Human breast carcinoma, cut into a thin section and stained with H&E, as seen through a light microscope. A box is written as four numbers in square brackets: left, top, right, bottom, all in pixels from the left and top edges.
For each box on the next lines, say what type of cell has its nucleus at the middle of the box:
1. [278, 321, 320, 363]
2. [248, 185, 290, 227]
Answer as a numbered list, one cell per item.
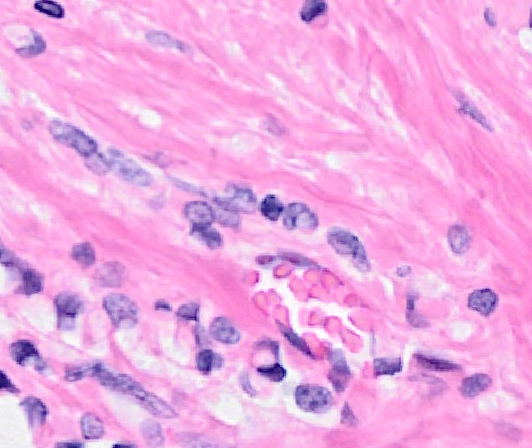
1. endothelial cell
2. lymphocyte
